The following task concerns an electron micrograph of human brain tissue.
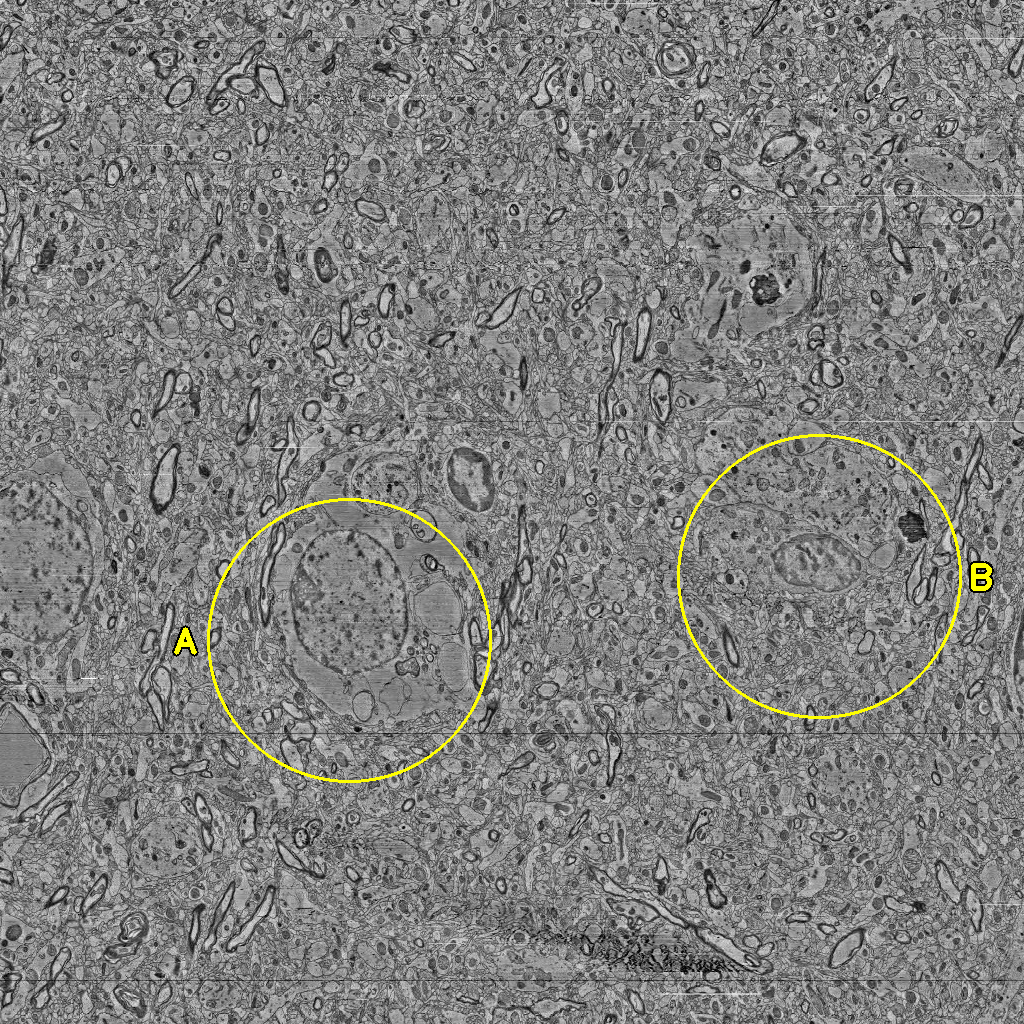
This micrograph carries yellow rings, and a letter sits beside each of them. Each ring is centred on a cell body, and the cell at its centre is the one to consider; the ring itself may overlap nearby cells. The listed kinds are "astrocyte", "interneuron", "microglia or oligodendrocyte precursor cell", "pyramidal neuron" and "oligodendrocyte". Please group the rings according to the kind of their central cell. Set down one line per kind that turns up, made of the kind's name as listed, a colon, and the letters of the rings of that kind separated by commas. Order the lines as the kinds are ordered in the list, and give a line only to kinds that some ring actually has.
astrocyte: A
oligodendrocyte: B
